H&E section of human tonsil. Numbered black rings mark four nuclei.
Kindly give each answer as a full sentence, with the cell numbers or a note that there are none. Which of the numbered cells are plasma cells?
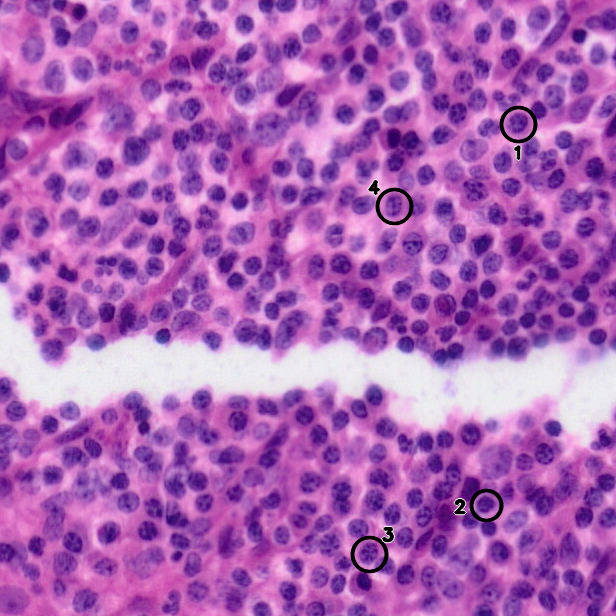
Into the category of plasma cells fall the cells numbered 1, 3 and 4.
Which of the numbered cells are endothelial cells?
Whichever numbered cell is considered, it is not one of the endothelial cells.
